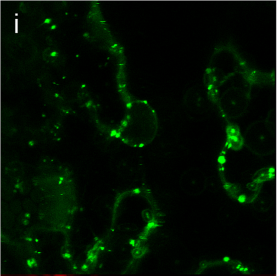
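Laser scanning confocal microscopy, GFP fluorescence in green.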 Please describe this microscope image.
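A single layer of plant leaf epidermal cells is seen, their outlines traced by a thin green line of cytoplasm pressed against the cell walls. The borders are wavy and lobed, so neighbouring cells interlock like pieces of a puzzle. Along these thin rims sit many bright green dots of varied size, some small and scattered, some larger and rounder, clustered in places where the cytoplasm is thicker. The centres of the cells are dark, as expected where a large vacuole fills the cell and pushes the cytoplasm to the edge.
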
